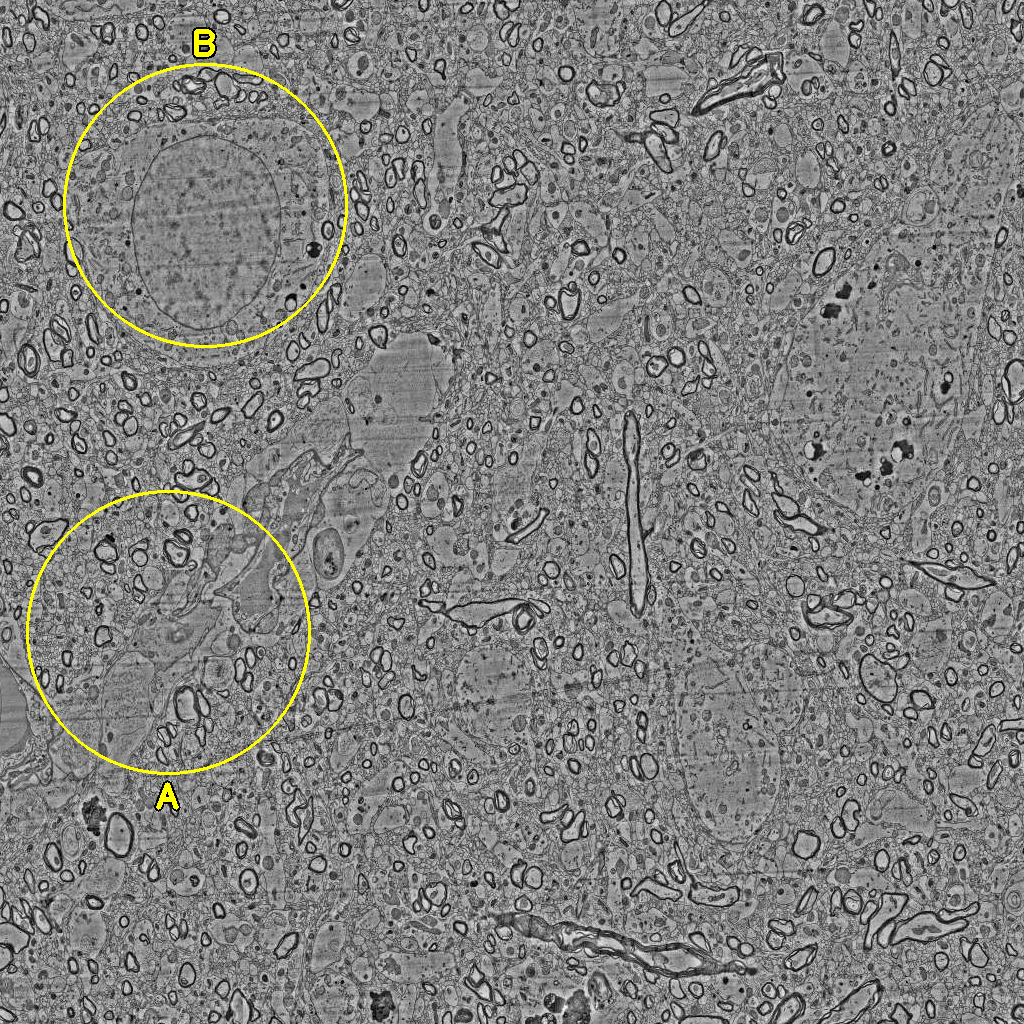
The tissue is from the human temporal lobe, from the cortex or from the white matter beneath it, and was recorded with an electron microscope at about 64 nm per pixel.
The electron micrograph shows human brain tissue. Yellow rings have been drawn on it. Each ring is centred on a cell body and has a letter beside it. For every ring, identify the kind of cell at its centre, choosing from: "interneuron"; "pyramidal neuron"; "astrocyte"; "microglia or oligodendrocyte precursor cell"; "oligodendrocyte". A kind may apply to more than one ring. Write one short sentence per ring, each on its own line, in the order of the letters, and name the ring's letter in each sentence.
Ring A is centred on an oligodendrocyte.
Ring B is centred on a pyramidal neuron.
